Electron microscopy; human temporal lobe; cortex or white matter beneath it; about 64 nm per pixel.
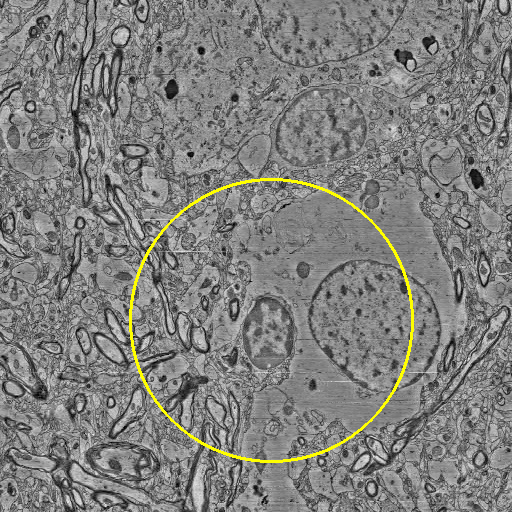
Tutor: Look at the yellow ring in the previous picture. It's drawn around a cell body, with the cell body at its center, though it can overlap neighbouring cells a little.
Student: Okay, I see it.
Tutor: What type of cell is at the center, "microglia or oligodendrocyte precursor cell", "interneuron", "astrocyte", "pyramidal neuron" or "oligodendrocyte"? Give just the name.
microglia or oligodendrocyte precursor cell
